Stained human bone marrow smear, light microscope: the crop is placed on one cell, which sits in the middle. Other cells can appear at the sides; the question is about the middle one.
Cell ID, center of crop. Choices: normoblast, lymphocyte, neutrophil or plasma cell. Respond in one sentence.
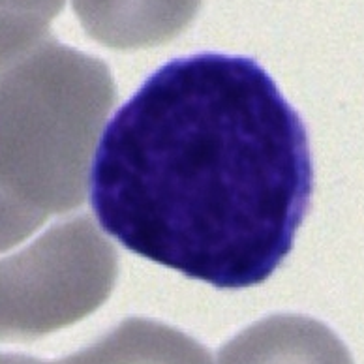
The crop shows a lymphocyte in its centre.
